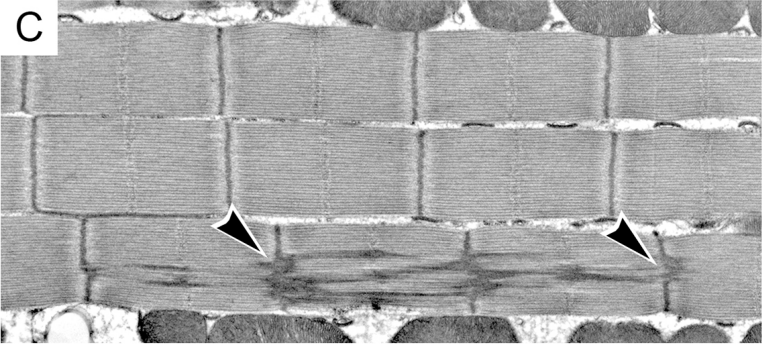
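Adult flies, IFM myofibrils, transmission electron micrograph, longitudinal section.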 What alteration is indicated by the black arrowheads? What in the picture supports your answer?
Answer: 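Non-linear Z-lines. In the lower myofibril the dark transverse material at the arrowheads is smeared and irregular. The upper myofibrils keep straight, evenly spaced transverse lines.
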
